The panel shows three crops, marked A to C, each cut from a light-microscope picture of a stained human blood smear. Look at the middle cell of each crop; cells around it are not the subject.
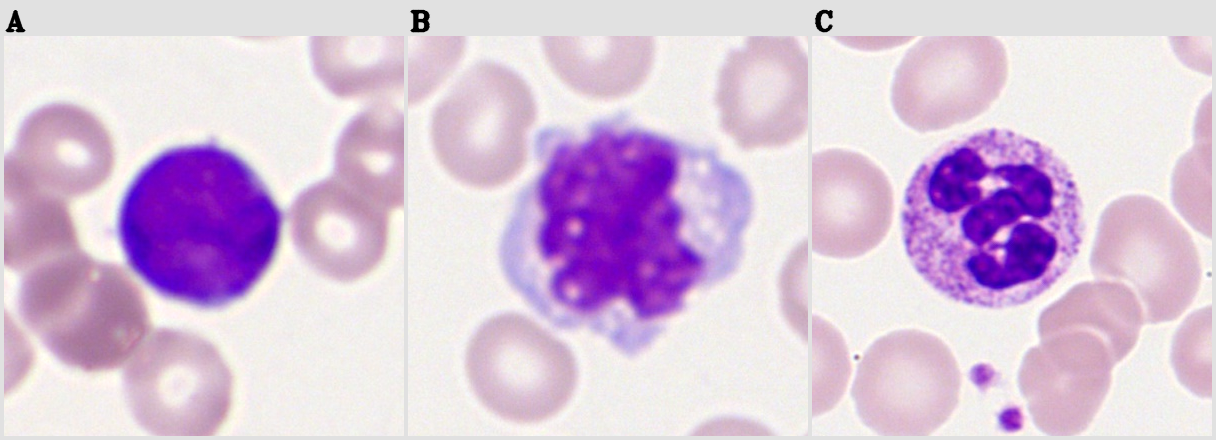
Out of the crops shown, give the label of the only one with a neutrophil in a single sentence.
Crop C is the right one; it is the crop showing a neutrophil.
